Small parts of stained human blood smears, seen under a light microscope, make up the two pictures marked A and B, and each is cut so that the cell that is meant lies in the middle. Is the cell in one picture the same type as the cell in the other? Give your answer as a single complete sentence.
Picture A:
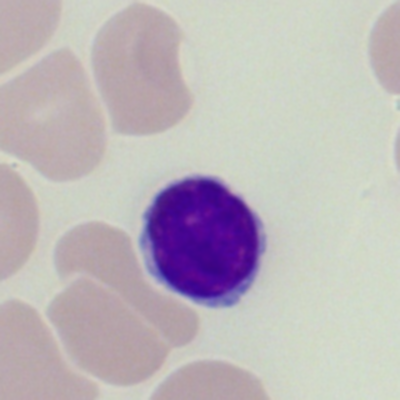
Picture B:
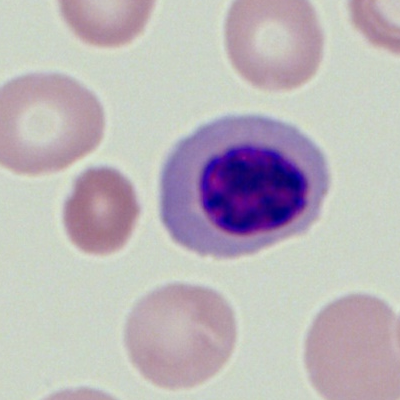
No. Picture A shows a lymphocyte, but picture B shows an erythroblast.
